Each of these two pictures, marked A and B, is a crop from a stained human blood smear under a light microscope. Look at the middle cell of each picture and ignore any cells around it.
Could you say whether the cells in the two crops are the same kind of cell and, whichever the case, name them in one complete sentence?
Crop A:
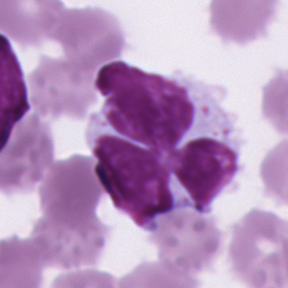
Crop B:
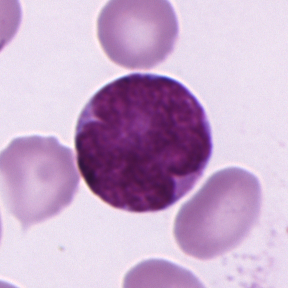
No, crop A contains a large granular lymphocyte, and crop B contains a myeloblast.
